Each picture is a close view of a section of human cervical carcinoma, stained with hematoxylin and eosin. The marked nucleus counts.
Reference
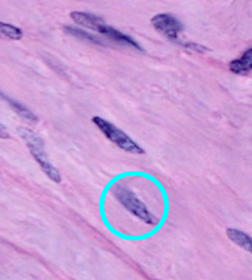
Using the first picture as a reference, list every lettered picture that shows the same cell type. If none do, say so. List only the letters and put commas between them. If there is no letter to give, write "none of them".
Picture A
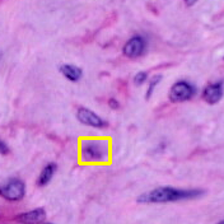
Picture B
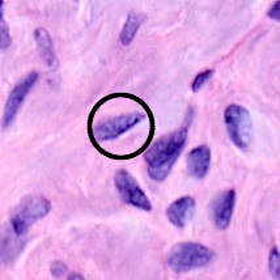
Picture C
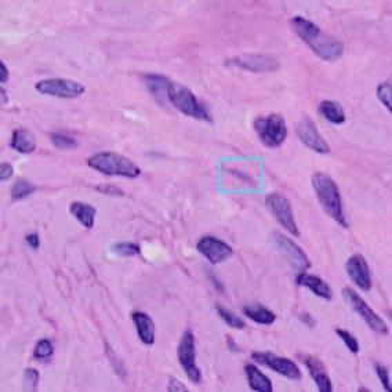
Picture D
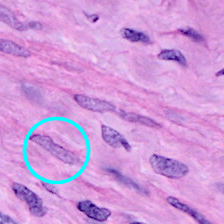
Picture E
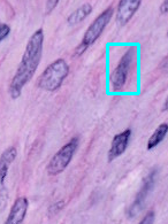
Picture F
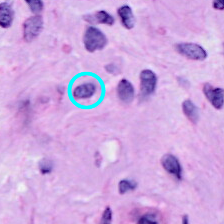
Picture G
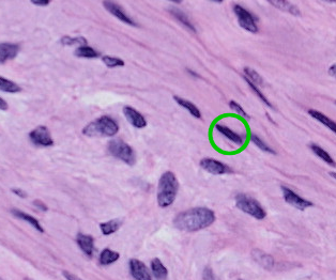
B, C, F, G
